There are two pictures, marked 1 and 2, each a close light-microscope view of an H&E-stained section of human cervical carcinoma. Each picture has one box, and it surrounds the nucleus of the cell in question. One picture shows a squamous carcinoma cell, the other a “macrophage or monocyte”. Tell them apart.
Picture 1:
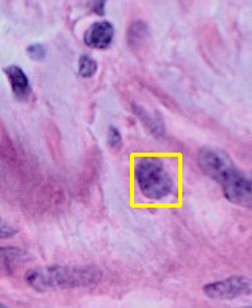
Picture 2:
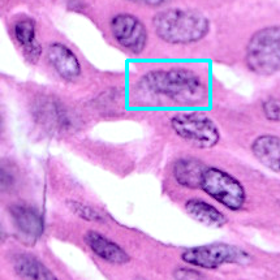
1: macrophage or monocyte
2: squamous carcinoma cell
